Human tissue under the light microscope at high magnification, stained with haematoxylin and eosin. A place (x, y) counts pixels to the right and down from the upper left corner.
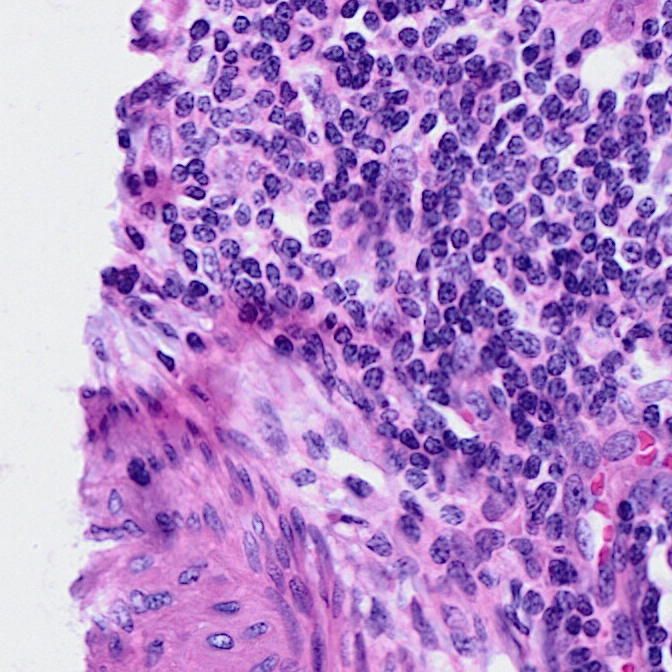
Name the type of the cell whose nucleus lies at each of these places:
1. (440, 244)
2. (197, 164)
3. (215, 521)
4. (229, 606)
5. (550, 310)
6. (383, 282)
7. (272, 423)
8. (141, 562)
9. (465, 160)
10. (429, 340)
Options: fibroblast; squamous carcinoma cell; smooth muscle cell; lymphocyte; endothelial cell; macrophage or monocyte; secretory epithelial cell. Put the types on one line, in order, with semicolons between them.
lymphocyte; lymphocyte; smooth muscle cell; smooth muscle cell; lymphocyte; lymphocyte; fibroblast; smooth muscle cell; lymphocyte; lymphocyte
